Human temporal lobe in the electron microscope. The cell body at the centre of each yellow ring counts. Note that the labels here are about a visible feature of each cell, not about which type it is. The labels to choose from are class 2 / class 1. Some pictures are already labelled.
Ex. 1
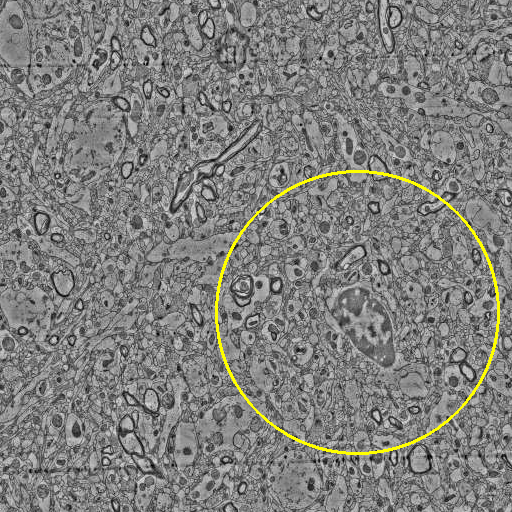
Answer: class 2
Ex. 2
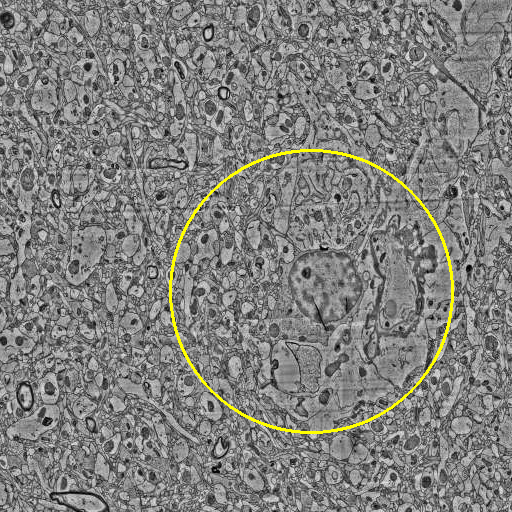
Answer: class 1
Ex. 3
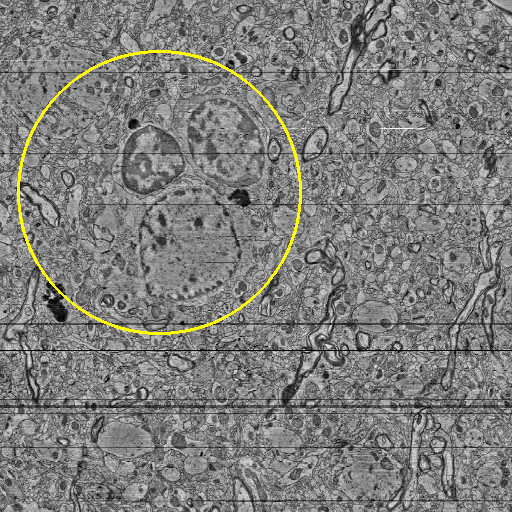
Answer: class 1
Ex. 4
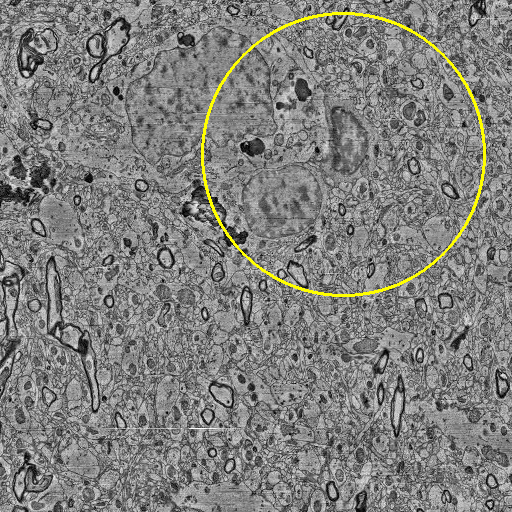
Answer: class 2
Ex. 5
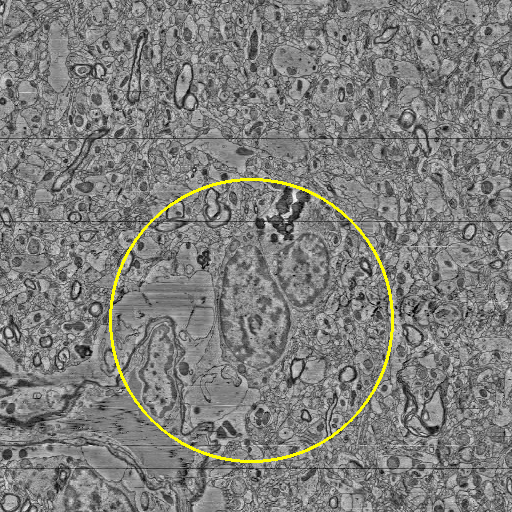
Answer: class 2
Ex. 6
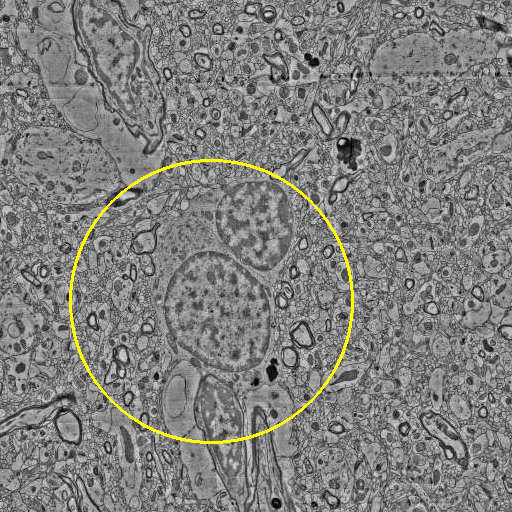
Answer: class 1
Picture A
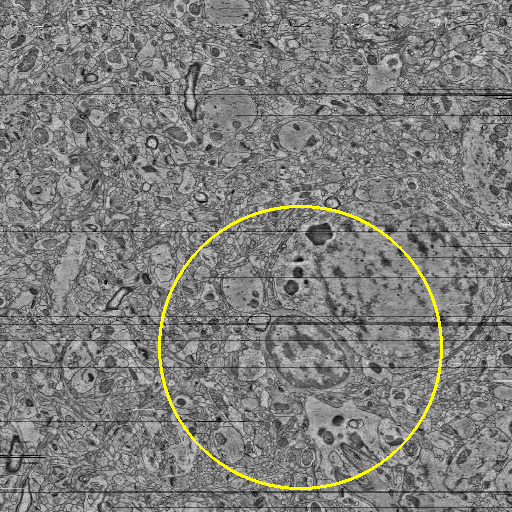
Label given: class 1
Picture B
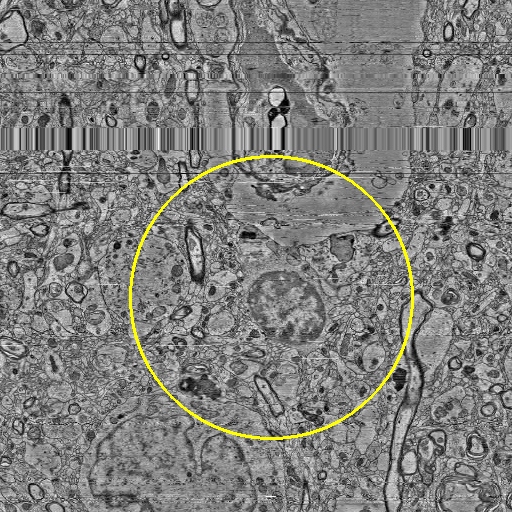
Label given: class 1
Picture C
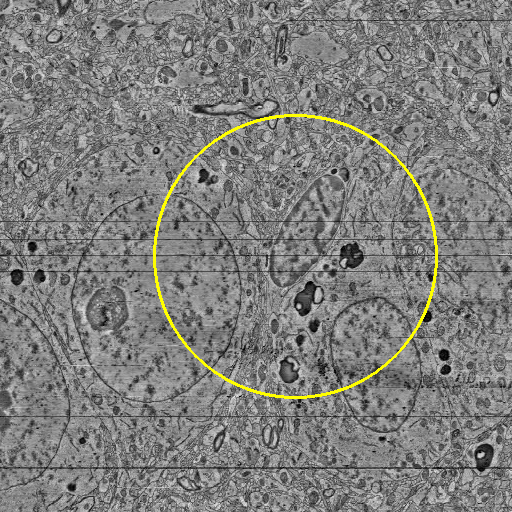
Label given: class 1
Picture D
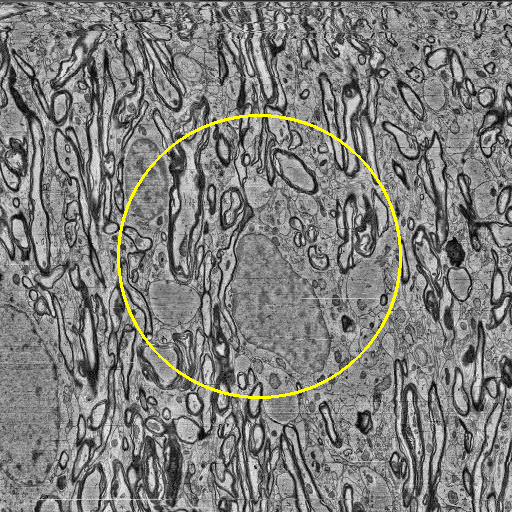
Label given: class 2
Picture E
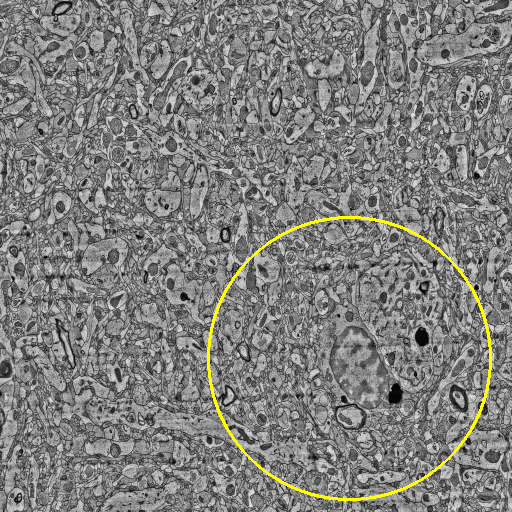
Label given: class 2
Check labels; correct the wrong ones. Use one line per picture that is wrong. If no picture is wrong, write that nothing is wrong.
A: class 2, not class 1
C: class 2, not class 1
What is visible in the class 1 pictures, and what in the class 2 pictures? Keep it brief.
Seen in class 1: round or nearly round nuclei; seen in class 2: clearly elongated nuclei.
